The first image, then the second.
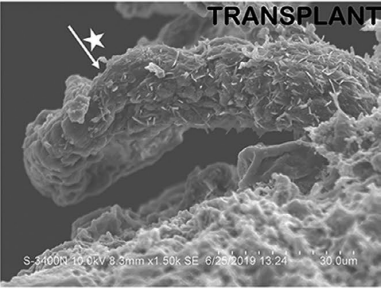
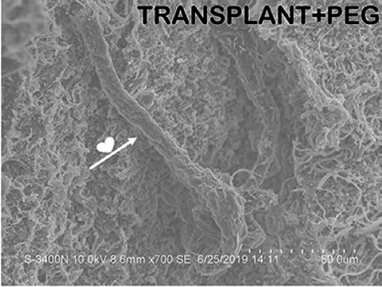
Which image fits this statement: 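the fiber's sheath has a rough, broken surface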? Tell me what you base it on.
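The first image. Second image: the marked fiber runs as a continuous band with a fairly smooth surface. First image: the marked fiber's surface is rough, covered with small flakes and pits.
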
